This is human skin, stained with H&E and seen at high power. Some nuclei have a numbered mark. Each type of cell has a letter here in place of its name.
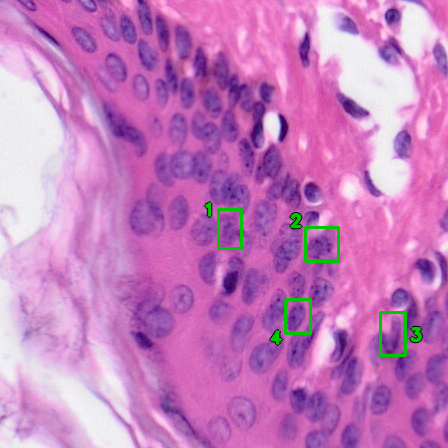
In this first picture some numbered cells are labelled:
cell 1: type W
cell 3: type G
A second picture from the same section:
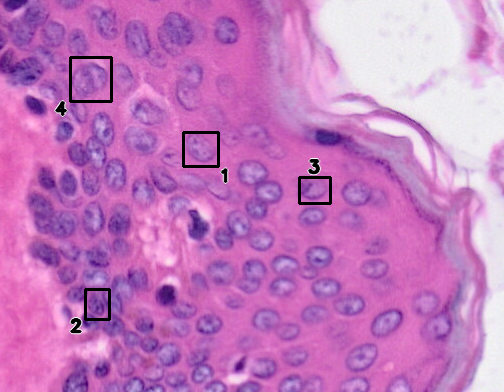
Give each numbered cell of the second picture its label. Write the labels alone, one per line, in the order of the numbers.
type W
type G
type W
type W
